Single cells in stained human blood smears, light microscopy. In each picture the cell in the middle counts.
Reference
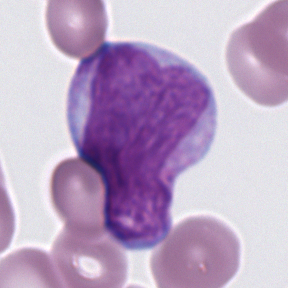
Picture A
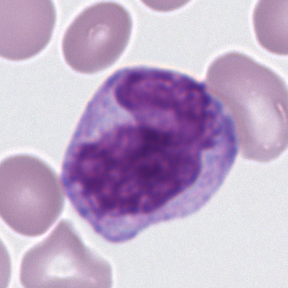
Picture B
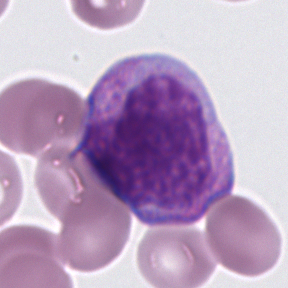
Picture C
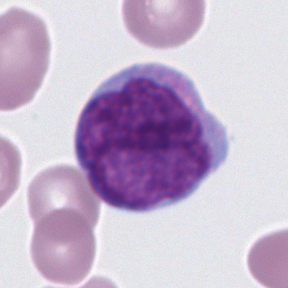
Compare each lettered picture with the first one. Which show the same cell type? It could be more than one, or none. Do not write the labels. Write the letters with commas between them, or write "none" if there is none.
A, B, C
